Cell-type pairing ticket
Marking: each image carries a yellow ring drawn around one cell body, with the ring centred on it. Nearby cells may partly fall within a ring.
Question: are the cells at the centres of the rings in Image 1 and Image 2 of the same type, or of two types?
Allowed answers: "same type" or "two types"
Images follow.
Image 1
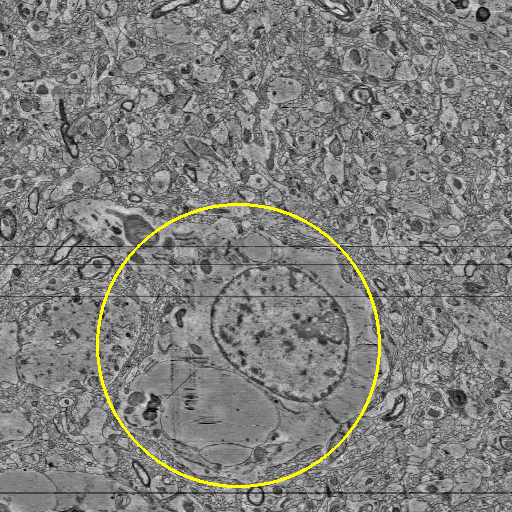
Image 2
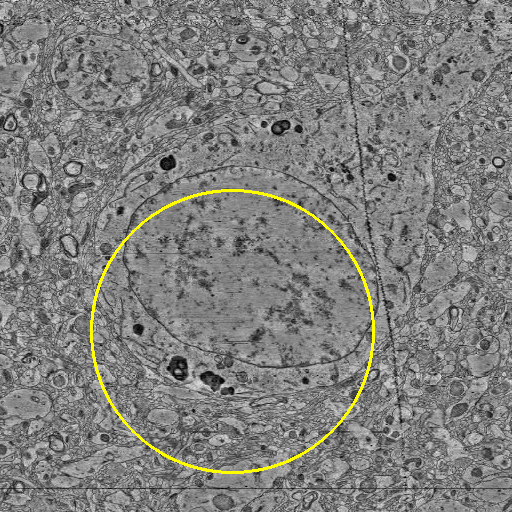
two types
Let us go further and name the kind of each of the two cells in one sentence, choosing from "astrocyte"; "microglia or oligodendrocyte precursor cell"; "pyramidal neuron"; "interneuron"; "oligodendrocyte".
The ring of the first picture is on an astrocyte, the ring of the second on a pyramidal neuron.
